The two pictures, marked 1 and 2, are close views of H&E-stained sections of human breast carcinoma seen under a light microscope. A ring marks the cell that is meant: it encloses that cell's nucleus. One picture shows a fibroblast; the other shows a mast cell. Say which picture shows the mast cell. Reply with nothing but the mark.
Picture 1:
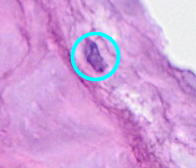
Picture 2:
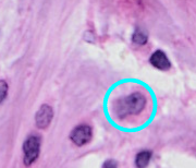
2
